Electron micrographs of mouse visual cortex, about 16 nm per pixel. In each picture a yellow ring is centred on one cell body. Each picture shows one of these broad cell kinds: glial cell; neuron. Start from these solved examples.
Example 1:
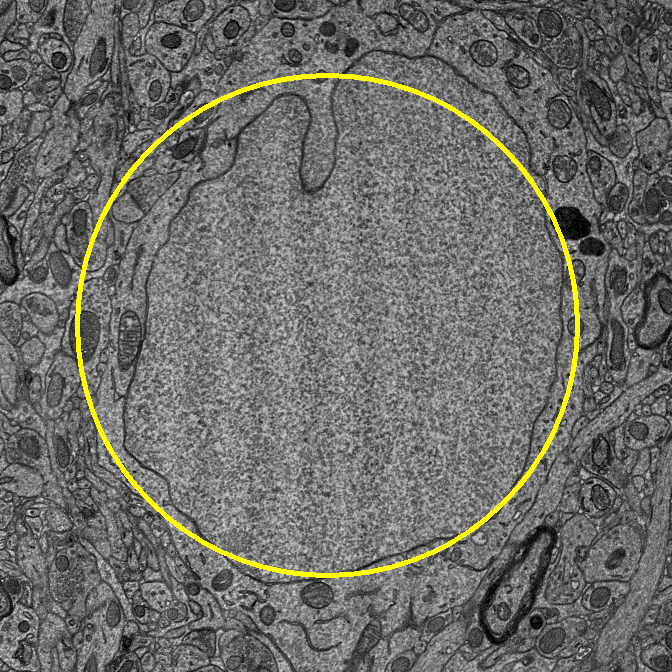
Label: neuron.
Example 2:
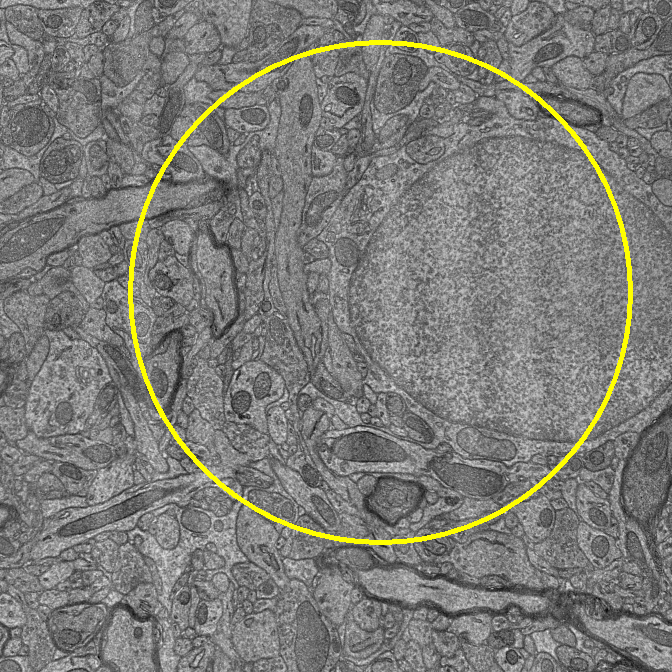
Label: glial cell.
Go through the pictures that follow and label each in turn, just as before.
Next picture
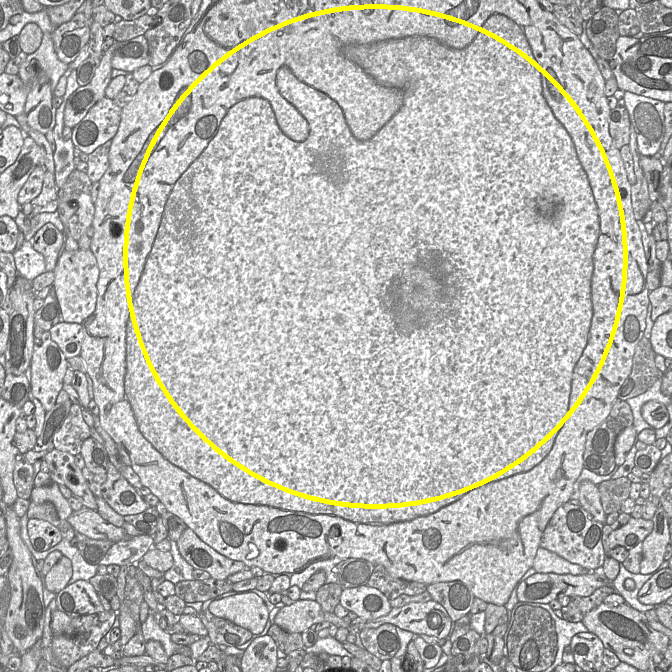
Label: neuron.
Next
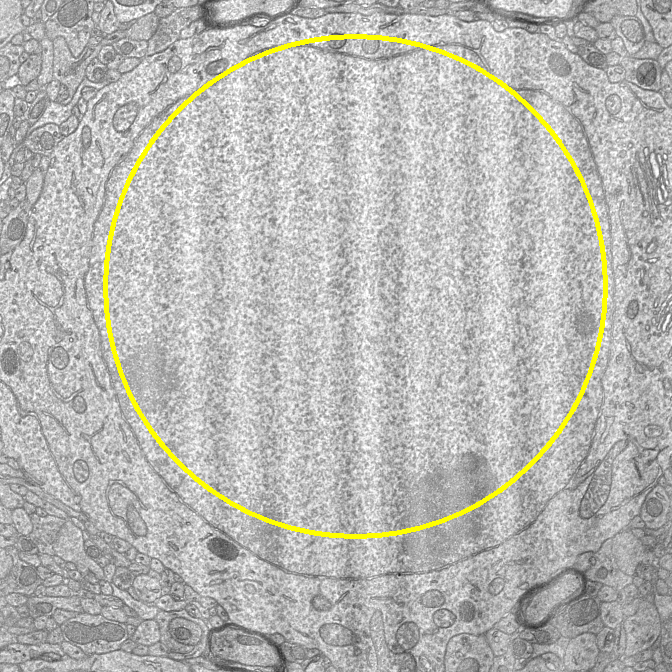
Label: neuron.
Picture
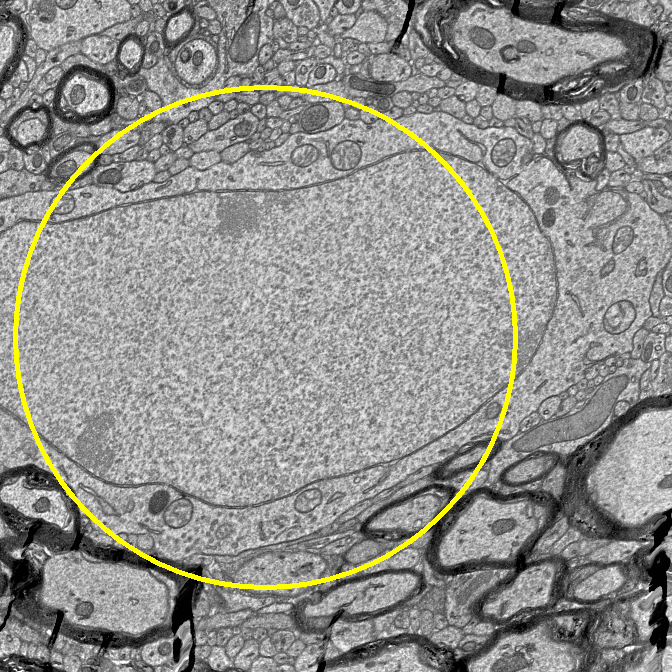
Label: neuron.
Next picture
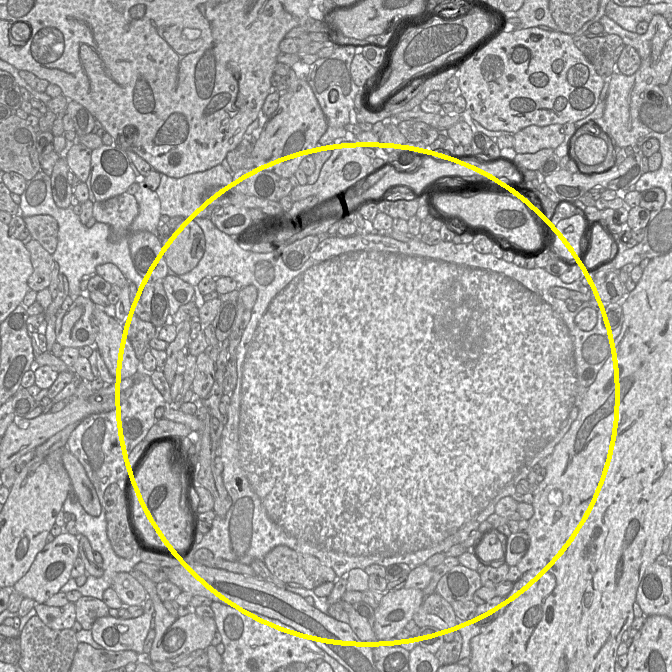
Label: glial cell.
